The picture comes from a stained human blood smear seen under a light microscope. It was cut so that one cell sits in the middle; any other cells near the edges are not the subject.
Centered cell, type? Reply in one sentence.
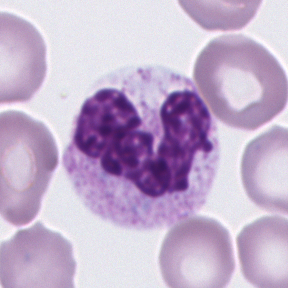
The cell centred in this crop is categorized as a neutrophil.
